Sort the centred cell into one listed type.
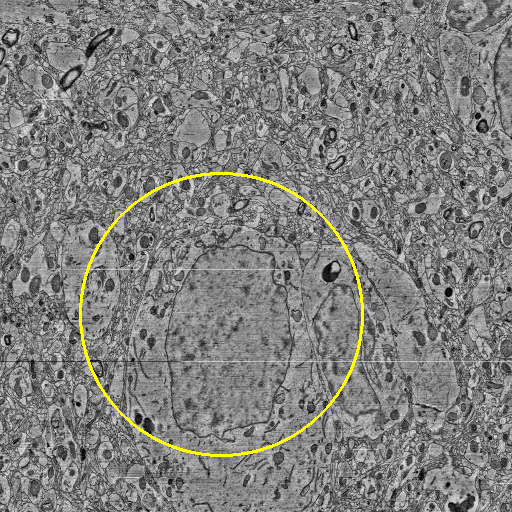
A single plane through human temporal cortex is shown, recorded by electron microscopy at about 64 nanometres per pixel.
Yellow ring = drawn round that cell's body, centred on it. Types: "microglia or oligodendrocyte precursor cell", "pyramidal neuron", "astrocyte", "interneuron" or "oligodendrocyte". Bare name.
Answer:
pyramidal neuron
